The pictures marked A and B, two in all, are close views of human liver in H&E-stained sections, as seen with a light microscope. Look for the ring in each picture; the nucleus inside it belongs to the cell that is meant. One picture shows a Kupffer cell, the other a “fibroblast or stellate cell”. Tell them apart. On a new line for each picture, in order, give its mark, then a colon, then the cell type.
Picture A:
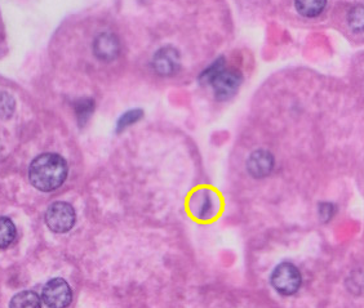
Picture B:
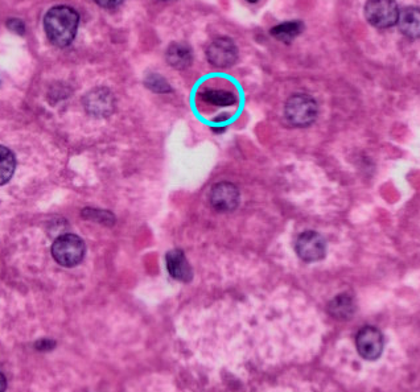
A: Kupffer cell
B: fibroblast or stellate cell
